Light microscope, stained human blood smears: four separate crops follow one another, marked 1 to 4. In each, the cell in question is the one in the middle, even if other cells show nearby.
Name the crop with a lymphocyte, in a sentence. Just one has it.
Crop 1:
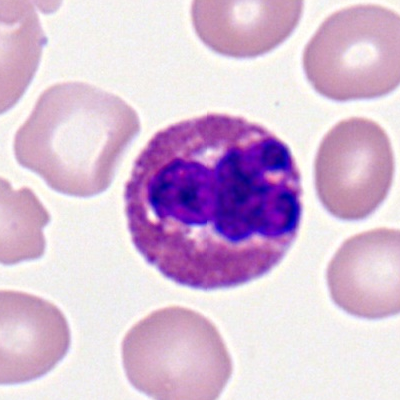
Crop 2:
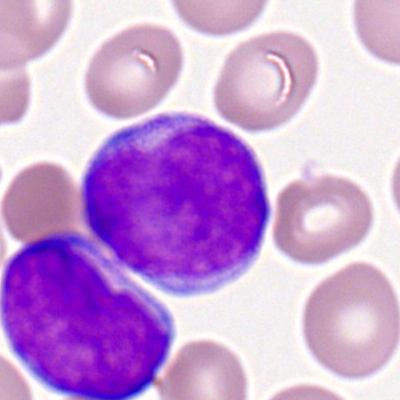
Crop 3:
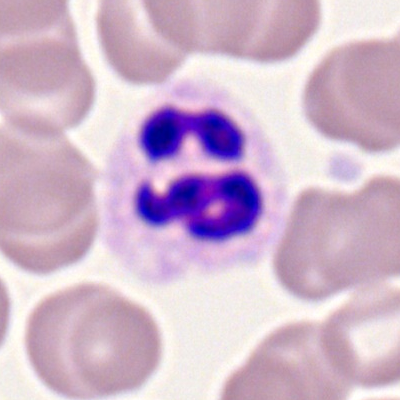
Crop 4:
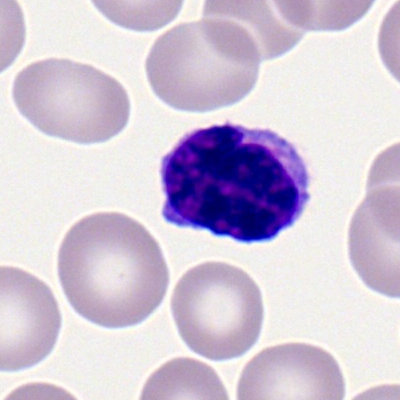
The one crop that shows a lymphocyte is crop 4.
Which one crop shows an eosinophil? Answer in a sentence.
The crop bearing an eosinophil is crop 1.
